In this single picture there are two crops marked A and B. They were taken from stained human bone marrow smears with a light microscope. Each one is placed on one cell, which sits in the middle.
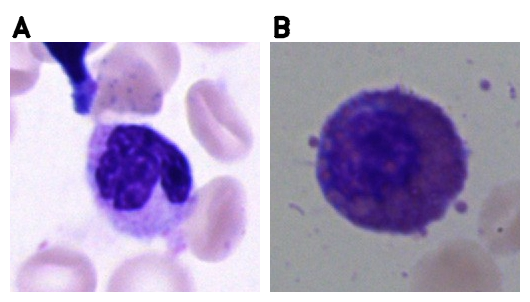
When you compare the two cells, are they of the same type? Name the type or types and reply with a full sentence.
No, it is crop A that shows a segmented neutrophil, and crop B shows an eosinophil.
